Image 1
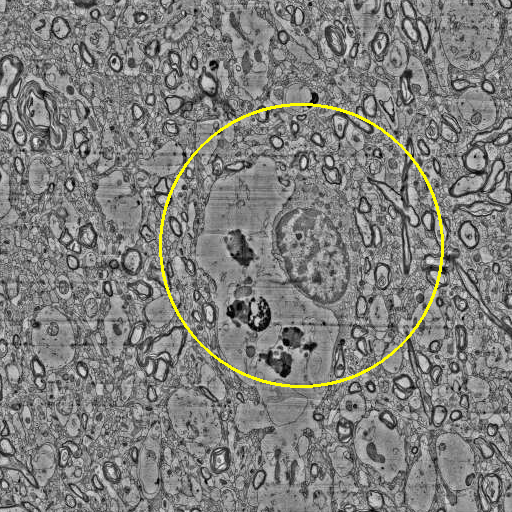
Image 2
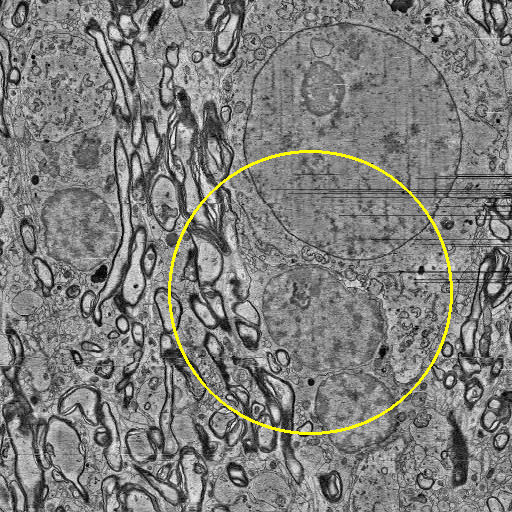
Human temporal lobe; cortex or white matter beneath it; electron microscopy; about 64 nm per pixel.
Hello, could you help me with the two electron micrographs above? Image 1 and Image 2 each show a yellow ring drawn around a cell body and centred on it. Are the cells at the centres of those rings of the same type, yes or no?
yes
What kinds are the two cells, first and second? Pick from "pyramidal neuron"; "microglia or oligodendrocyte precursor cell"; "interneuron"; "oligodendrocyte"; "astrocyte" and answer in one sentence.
Each of the two rings is centred on an oligodendrocyte.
